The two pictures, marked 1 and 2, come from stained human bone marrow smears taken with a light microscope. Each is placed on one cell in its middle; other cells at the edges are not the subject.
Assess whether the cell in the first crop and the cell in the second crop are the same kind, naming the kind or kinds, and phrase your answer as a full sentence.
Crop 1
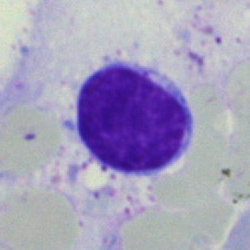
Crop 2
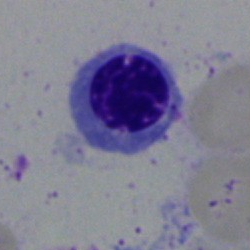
No; crop 1 is a lymphocyte, while crop 2 is a normoblast.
